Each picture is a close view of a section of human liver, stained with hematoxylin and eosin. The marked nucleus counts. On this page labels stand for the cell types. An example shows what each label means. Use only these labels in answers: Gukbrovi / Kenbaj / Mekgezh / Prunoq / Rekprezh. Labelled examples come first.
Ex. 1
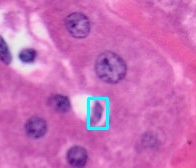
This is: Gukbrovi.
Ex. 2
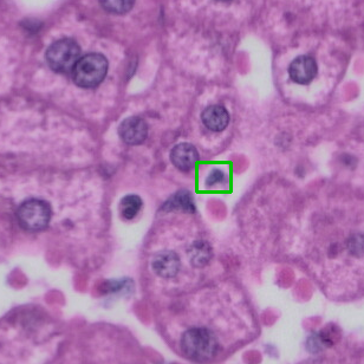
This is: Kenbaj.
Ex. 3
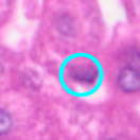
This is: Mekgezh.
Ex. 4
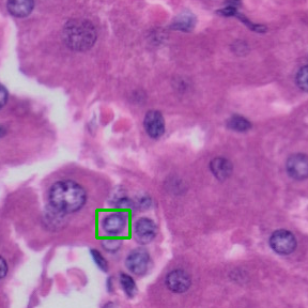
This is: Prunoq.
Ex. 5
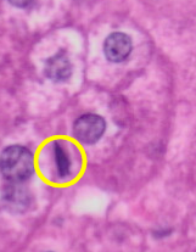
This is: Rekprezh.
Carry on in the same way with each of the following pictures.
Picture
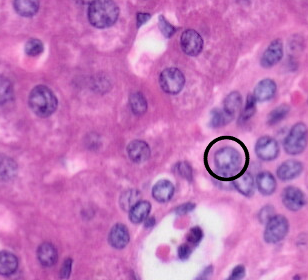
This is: Prunoq.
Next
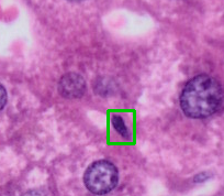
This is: Rekprezh.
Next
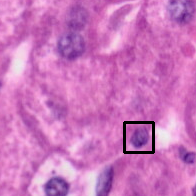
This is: Rekprezh.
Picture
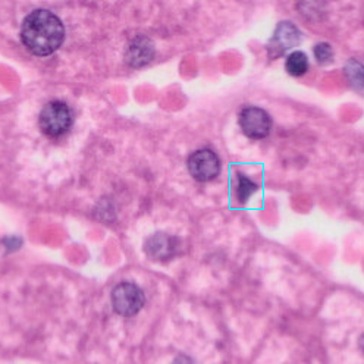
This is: Rekprezh.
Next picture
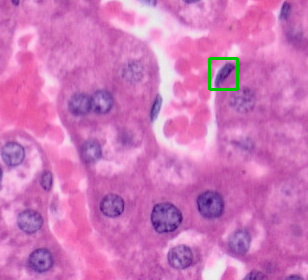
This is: Gukbrovi.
